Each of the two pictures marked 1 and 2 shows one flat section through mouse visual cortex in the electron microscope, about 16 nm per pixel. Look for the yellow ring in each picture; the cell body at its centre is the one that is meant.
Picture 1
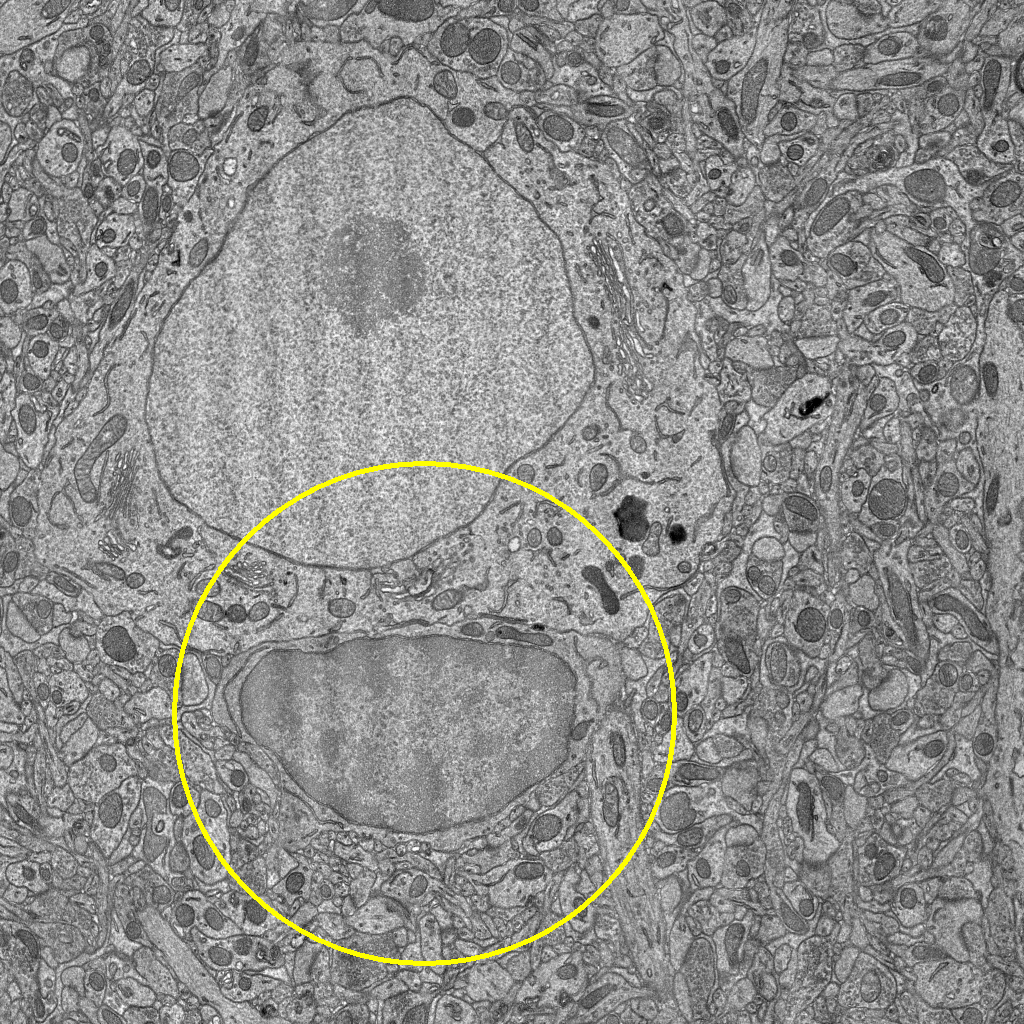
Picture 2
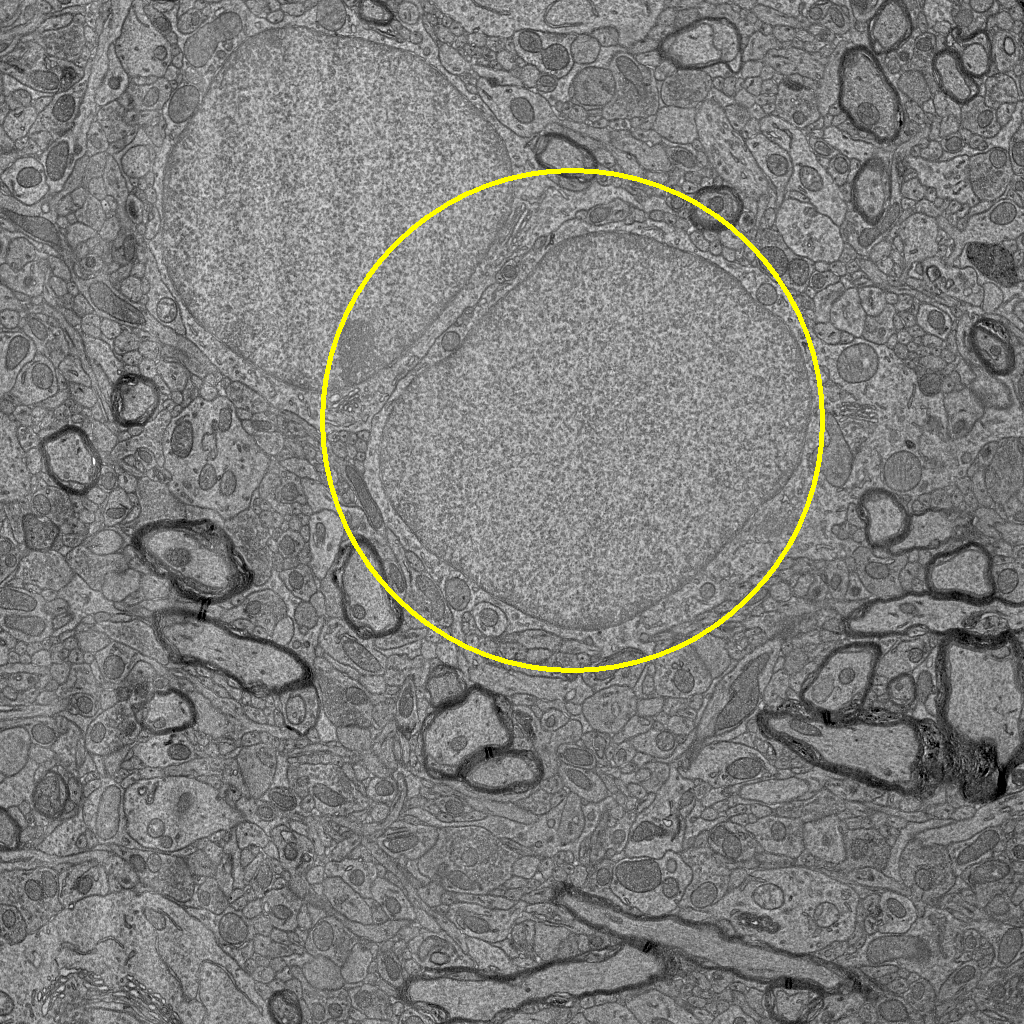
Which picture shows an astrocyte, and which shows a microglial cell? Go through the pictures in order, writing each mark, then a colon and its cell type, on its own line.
1: microglial cell
2: astrocyte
